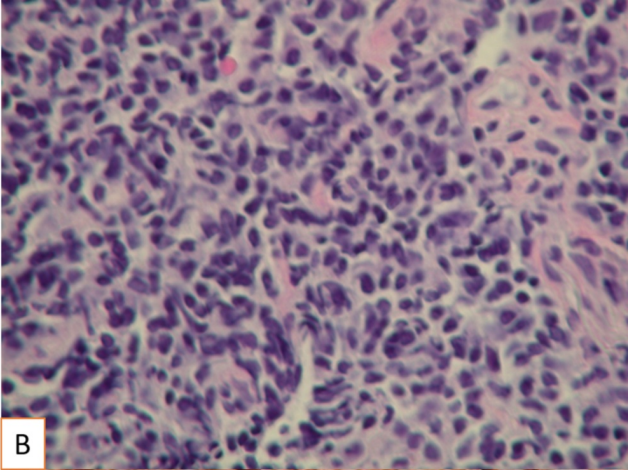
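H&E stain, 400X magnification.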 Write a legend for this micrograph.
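A densely cellular tumour of spindle-shaped cells with a high nucleus-to-cytoplasm ratio, mixed with inflammatory cells. The nuclei are dark purple and hyperchromatic, varying from oval to elongated and angular, and many are crowded closely together with only scant pale cytoplasm between them. Thin strands of pink collagenous stroma and small vessels cross the field, especially towards the right. A few smaller round nuclei scattered among the spindle cells fit inflammatory cells. A single red blood cell is seen near the top.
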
